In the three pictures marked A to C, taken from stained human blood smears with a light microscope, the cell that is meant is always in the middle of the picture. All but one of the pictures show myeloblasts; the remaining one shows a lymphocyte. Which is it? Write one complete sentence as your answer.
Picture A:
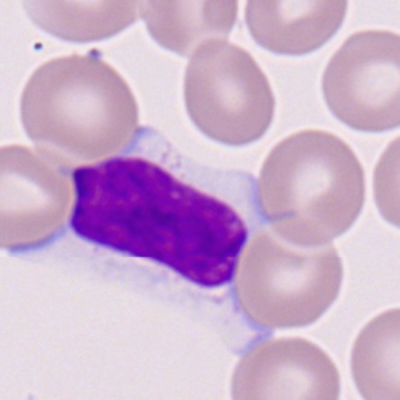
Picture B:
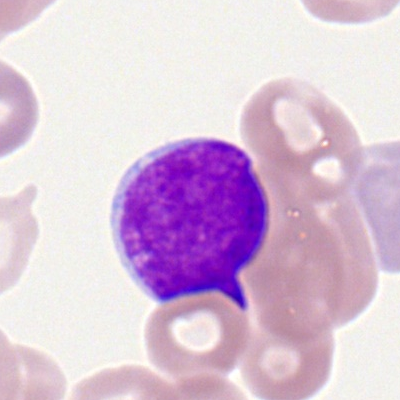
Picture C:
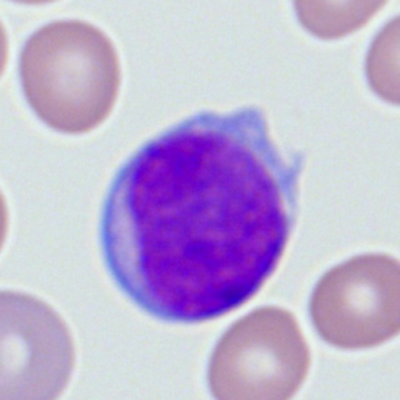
The cell in picture A is the lymphocyte.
